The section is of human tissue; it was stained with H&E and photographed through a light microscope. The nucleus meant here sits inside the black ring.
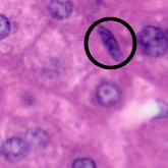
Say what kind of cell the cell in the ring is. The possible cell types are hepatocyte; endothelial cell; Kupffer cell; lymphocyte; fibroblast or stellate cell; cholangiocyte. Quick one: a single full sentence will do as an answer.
Students should answer that the cell in the ring is a fibroblast or stellate cell.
